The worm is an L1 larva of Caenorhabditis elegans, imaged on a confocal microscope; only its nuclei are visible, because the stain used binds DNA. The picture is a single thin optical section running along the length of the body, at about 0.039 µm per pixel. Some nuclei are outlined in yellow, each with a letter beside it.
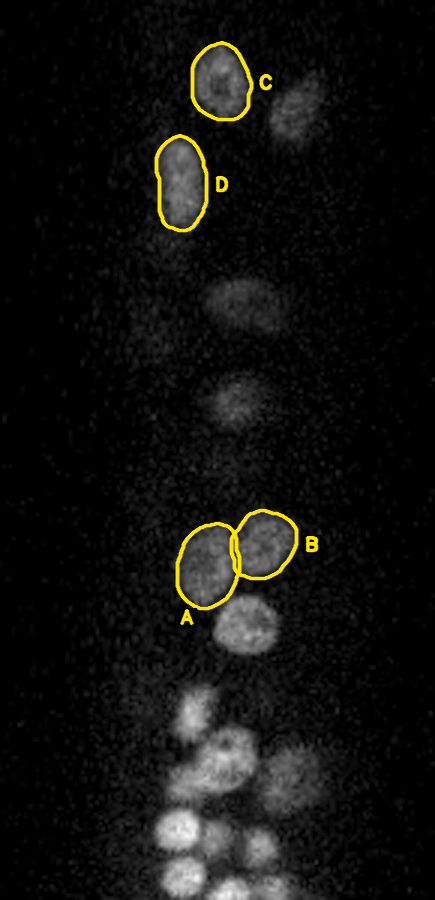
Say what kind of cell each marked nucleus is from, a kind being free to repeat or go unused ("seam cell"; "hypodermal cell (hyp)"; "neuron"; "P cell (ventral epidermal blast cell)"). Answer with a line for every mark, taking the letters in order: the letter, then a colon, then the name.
A: hypodermal cell (hyp)
B: hypodermal cell (hyp)
C: seam cell
D: P cell (ventral epidermal blast cell)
